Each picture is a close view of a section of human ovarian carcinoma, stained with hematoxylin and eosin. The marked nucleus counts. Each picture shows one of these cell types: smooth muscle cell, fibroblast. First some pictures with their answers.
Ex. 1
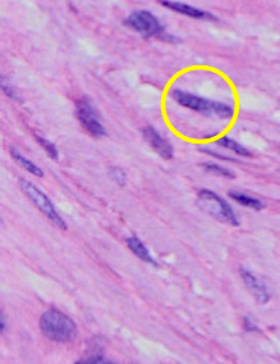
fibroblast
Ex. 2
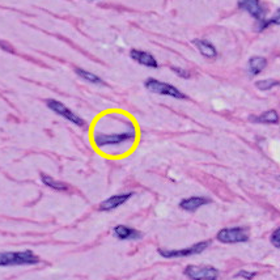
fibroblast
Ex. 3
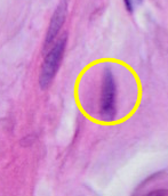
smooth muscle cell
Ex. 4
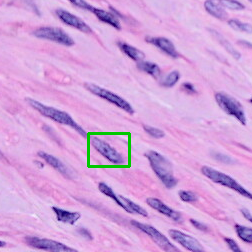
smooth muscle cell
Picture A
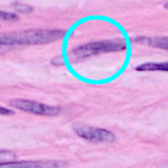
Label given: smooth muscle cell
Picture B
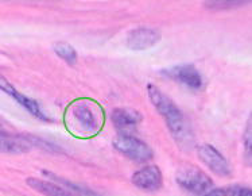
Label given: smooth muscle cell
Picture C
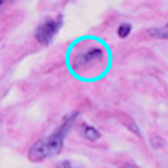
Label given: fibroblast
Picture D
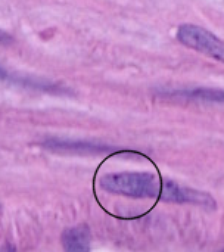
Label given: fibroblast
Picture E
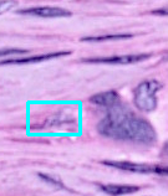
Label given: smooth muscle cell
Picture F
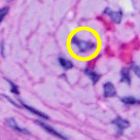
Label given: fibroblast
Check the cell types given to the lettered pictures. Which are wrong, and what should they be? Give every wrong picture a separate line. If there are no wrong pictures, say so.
D: change fibroblast to smooth muscle cell
E: change smooth muscle cell to fibroblast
